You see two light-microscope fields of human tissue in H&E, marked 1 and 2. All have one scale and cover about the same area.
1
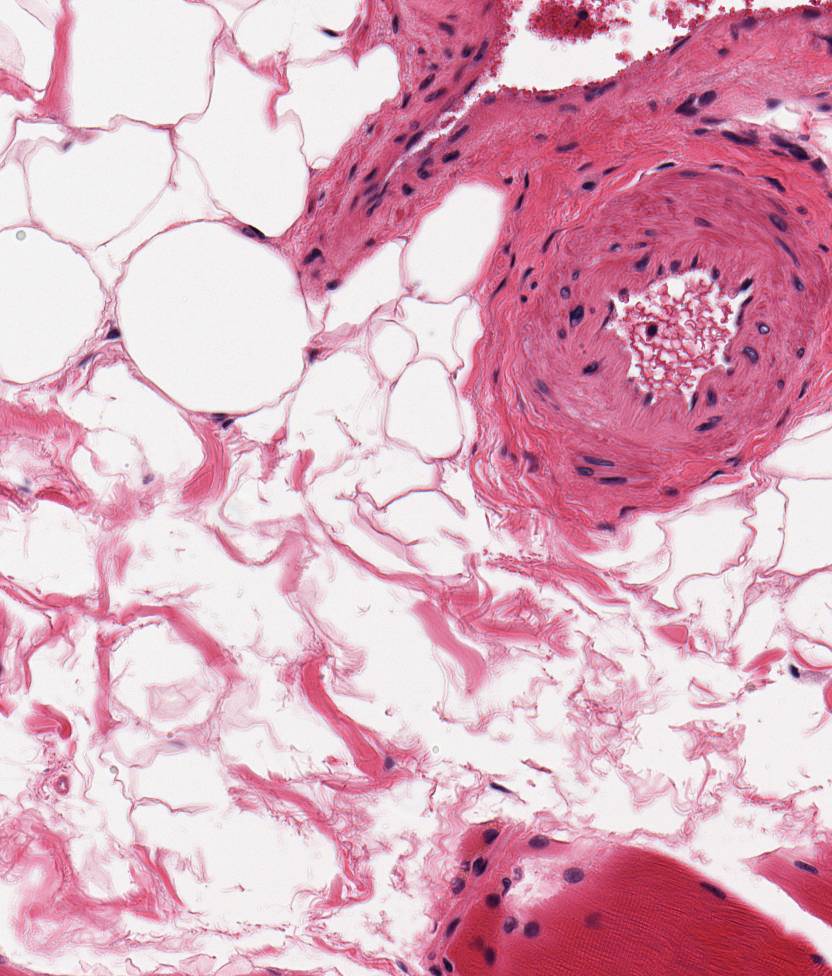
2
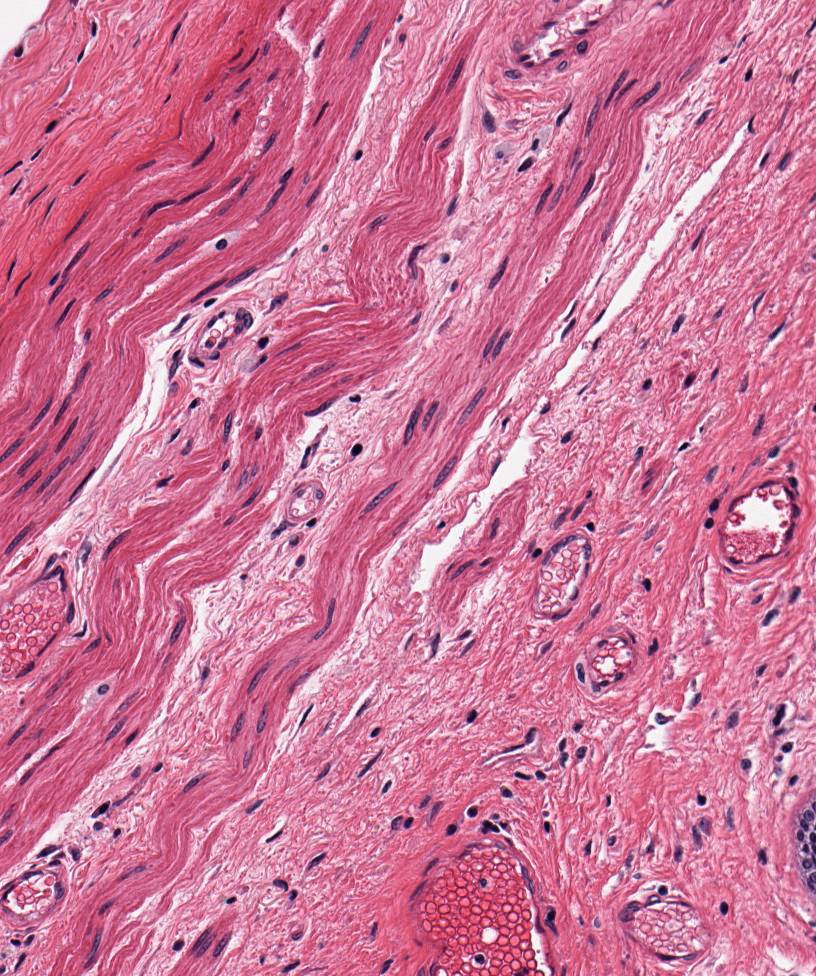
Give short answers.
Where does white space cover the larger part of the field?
1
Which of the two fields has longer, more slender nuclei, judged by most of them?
2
